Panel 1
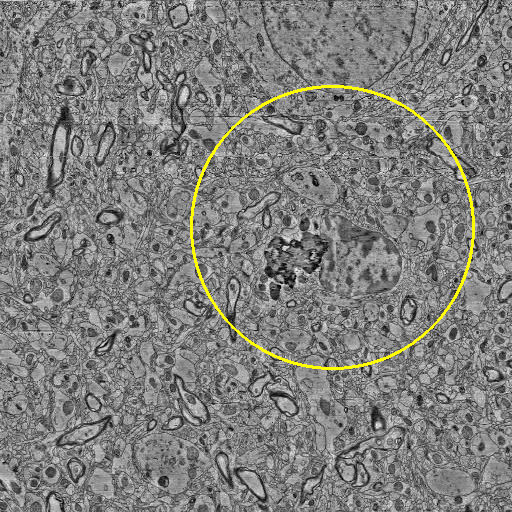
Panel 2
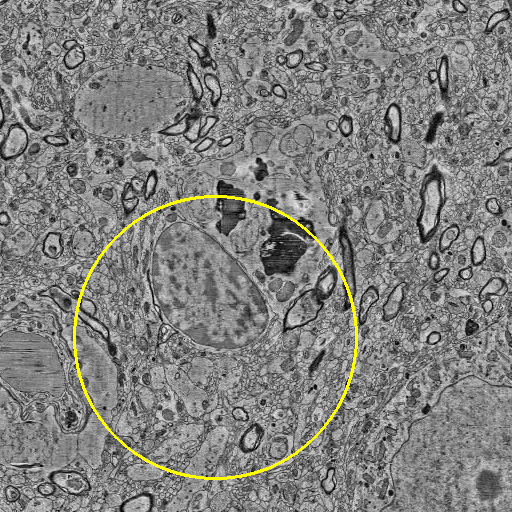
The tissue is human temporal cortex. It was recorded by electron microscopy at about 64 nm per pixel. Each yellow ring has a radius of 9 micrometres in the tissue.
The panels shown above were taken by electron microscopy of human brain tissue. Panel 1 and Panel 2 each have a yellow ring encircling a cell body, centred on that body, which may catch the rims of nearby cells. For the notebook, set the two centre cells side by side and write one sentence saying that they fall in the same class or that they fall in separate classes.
The centred cells of Panel 1 and Panel 2 fall in the same class.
